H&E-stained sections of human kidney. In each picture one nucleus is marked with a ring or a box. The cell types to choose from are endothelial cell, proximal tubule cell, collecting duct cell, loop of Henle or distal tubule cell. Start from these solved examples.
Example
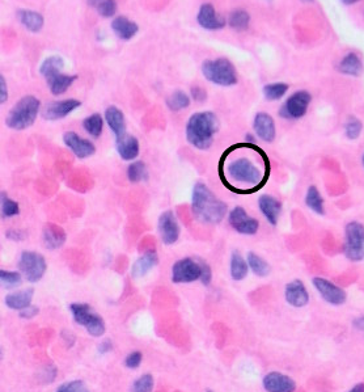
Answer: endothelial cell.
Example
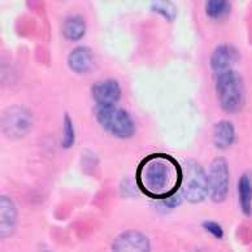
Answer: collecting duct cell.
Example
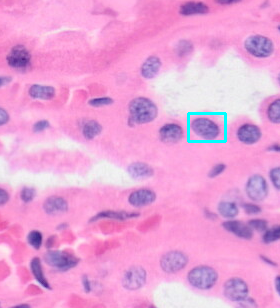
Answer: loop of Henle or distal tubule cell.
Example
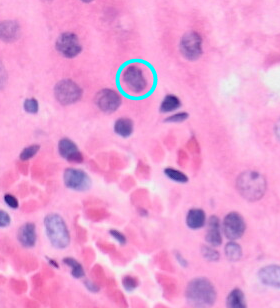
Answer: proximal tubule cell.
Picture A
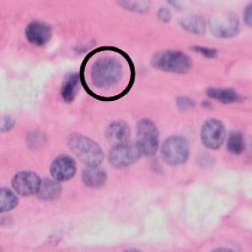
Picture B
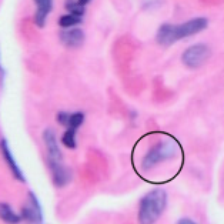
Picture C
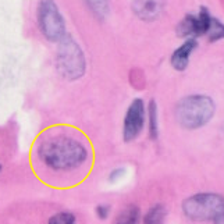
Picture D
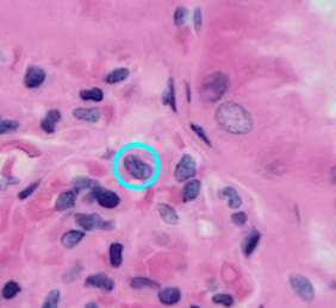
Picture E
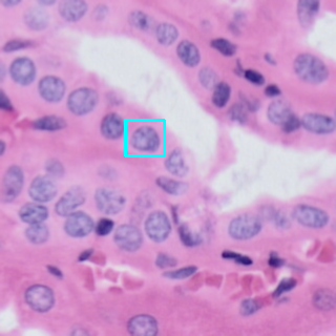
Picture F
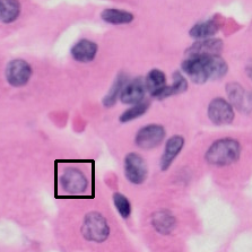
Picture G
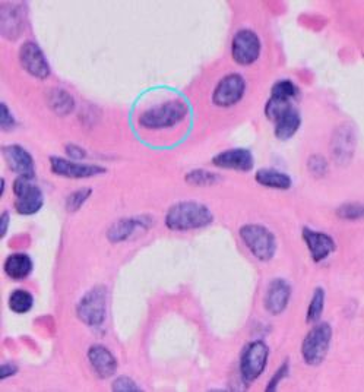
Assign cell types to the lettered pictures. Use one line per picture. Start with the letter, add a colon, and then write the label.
A: loop of Henle or distal tubule cell.
B: endothelial cell.
C: proximal tubule cell.
D: endothelial cell.
E: collecting duct cell.
F: proximal tubule cell.
G: loop of Henle or distal tubule cell.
